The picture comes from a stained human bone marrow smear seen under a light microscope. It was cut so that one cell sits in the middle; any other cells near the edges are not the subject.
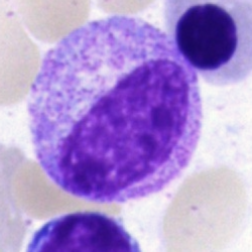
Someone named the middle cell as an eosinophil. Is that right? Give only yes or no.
no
